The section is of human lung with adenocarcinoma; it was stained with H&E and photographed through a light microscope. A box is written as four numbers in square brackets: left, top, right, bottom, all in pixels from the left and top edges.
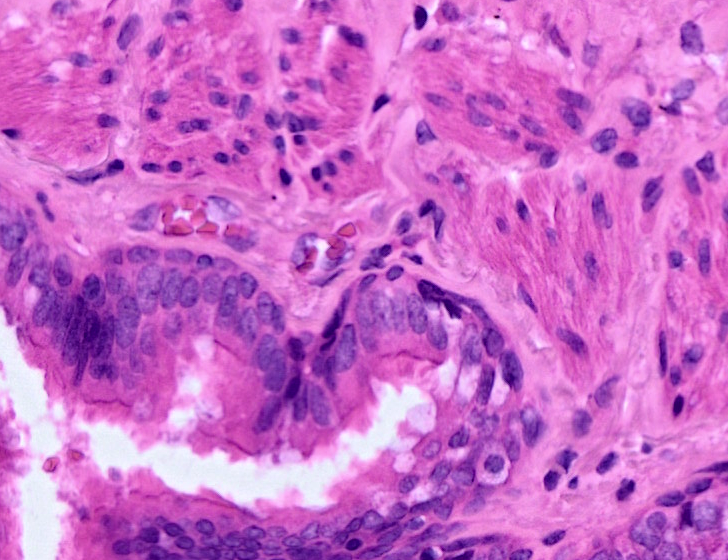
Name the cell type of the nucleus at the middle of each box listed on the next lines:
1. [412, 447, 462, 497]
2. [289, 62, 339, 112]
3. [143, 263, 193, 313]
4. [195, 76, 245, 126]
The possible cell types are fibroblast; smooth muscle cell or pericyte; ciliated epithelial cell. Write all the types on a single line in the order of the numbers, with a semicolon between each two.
ciliated epithelial cell; smooth muscle cell or pericyte; ciliated epithelial cell; smooth muscle cell or pericyte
